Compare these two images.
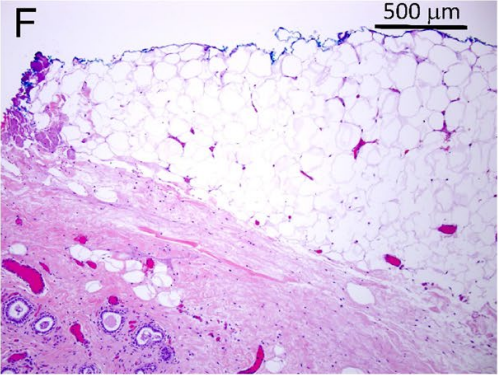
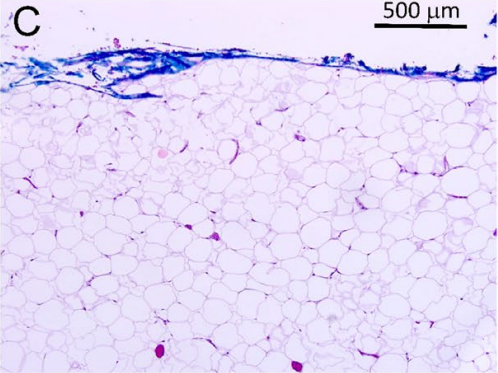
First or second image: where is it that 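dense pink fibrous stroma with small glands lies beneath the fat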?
The first image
